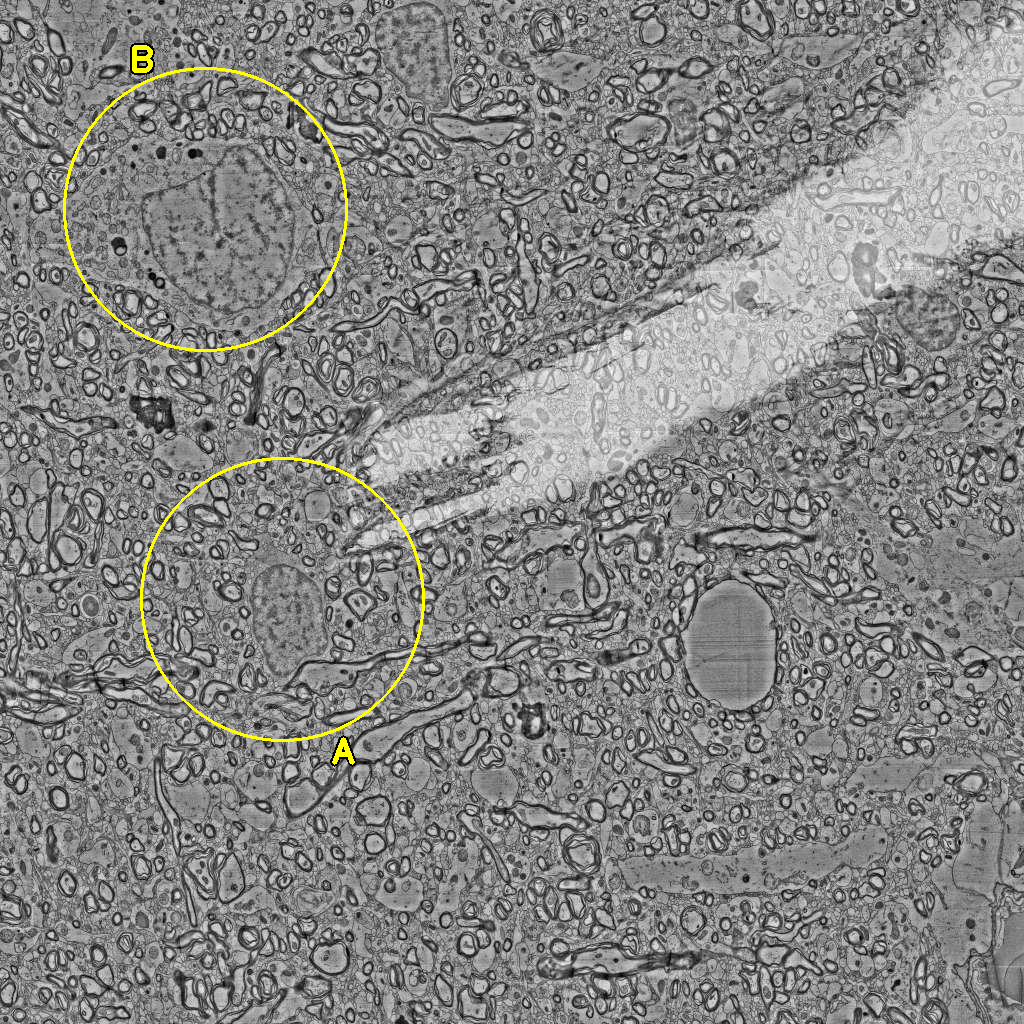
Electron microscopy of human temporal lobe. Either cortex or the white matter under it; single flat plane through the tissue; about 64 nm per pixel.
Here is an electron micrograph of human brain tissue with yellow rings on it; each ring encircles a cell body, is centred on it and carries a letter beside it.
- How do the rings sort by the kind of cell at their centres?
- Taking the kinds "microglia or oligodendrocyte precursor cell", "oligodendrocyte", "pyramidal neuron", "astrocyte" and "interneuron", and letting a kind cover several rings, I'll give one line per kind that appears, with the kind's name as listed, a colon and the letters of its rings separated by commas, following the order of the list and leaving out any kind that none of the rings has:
oligodendrocyte: A
interneuron: B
